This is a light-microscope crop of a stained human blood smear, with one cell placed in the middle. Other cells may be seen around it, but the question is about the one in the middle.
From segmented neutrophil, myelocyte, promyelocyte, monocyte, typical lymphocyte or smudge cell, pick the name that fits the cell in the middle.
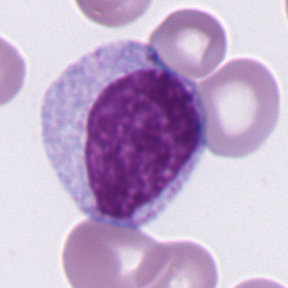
myelocyte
